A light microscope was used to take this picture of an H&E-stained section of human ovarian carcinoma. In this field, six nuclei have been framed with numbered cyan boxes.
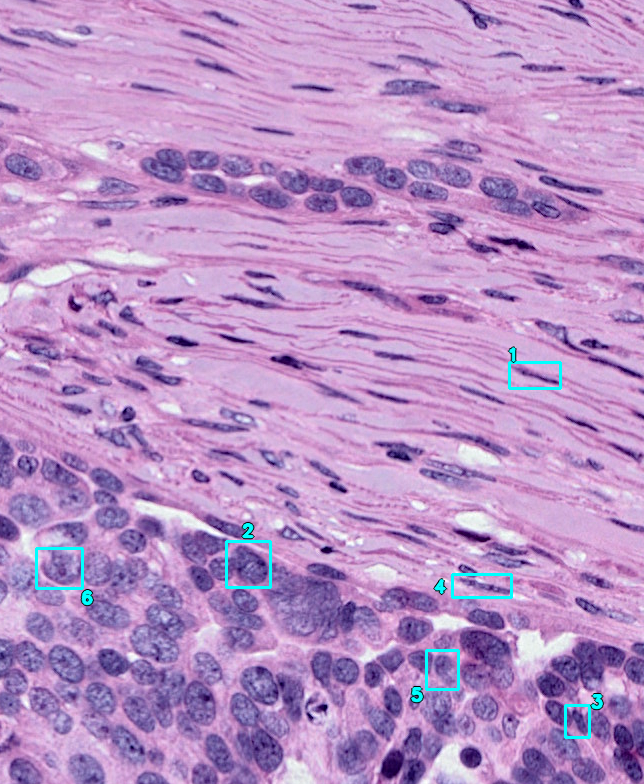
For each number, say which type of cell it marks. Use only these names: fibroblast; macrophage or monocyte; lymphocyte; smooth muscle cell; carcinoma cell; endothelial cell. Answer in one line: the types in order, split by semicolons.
fibroblast; carcinoma cell; carcinoma cell; fibroblast; carcinoma cell; carcinoma cell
